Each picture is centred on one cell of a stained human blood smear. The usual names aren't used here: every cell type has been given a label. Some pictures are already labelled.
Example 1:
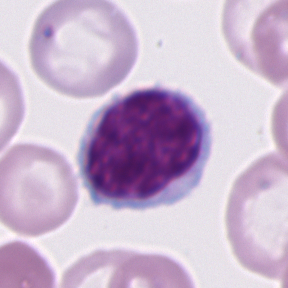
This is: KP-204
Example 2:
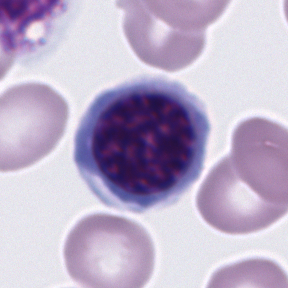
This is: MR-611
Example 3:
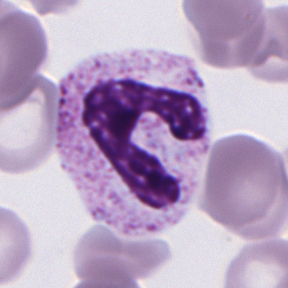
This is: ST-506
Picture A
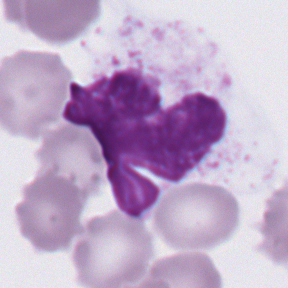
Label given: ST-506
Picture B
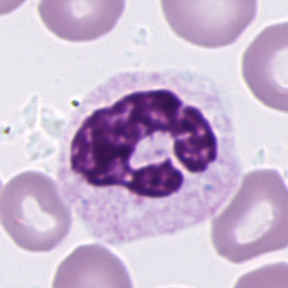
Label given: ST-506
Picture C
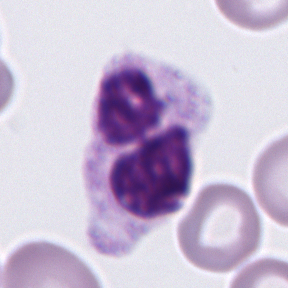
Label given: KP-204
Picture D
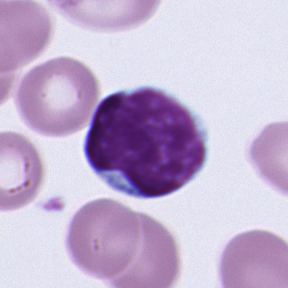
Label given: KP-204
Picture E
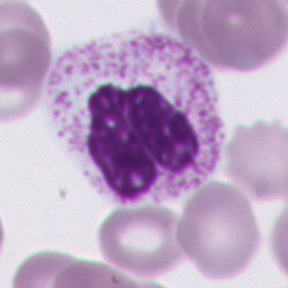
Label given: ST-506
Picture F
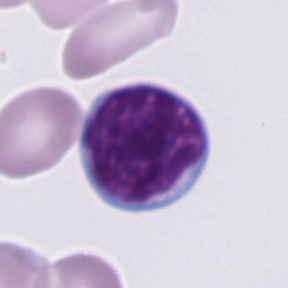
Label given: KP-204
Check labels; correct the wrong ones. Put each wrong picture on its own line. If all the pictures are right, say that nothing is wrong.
C: change KP-204 to ST-506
